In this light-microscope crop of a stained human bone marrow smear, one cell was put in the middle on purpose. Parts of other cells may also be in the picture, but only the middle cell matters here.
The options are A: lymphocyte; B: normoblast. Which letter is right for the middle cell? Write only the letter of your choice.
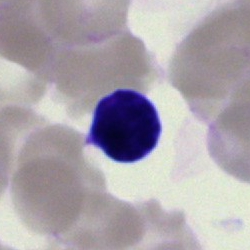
A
